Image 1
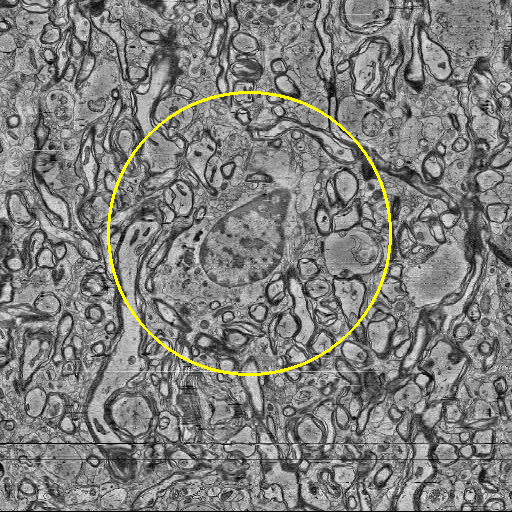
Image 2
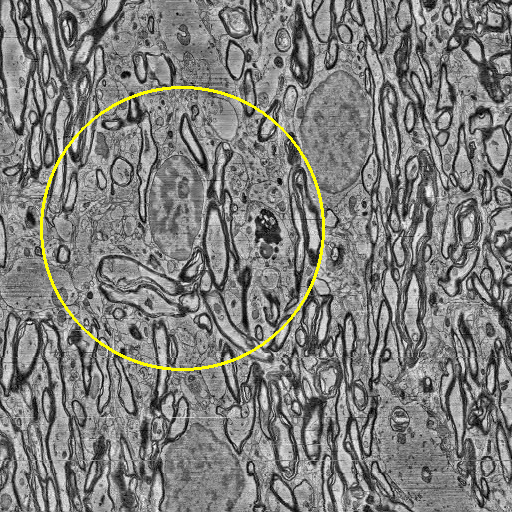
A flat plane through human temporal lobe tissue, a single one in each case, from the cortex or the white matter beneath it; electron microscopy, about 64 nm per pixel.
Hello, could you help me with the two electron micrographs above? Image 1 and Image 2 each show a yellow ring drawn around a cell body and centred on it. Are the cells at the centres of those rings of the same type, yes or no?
yes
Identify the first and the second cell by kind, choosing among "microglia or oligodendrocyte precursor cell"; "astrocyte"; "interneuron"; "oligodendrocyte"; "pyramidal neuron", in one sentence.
In each picture the ringed cell is a microglial cell or oligodendrocyte precursor cell.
